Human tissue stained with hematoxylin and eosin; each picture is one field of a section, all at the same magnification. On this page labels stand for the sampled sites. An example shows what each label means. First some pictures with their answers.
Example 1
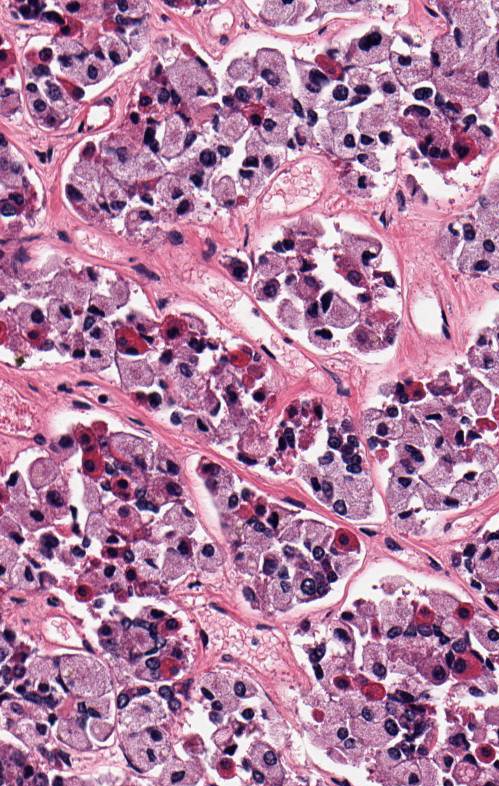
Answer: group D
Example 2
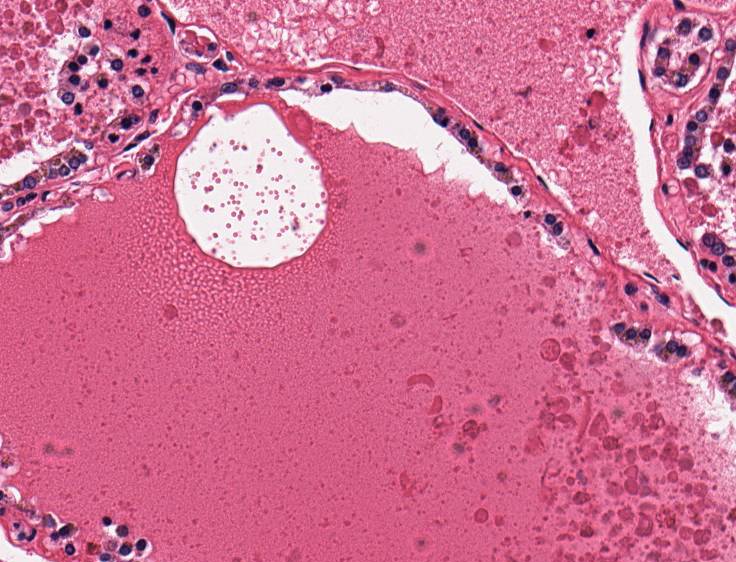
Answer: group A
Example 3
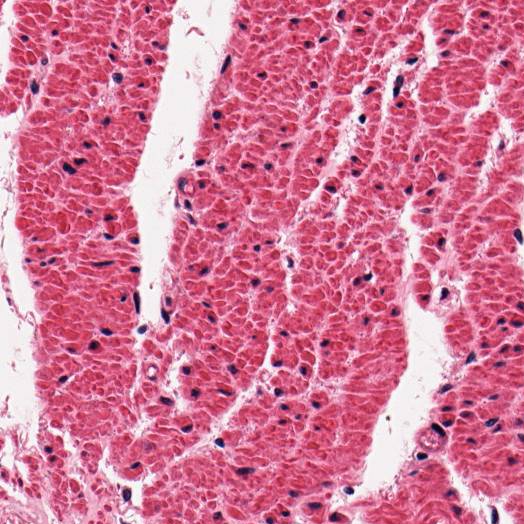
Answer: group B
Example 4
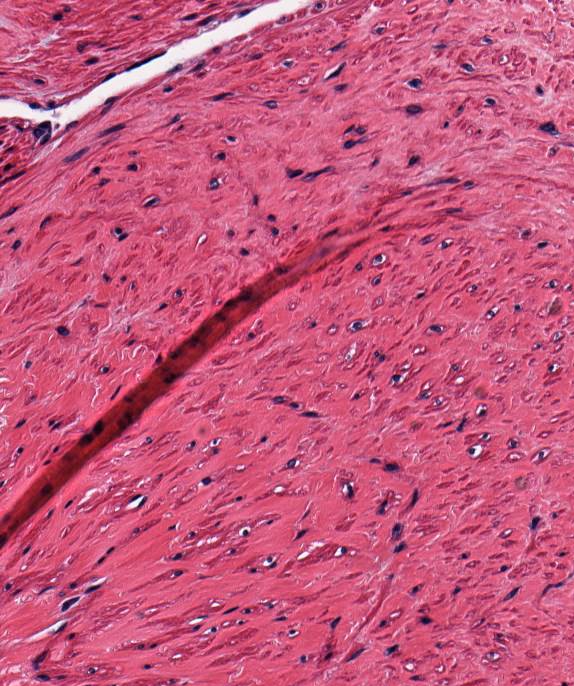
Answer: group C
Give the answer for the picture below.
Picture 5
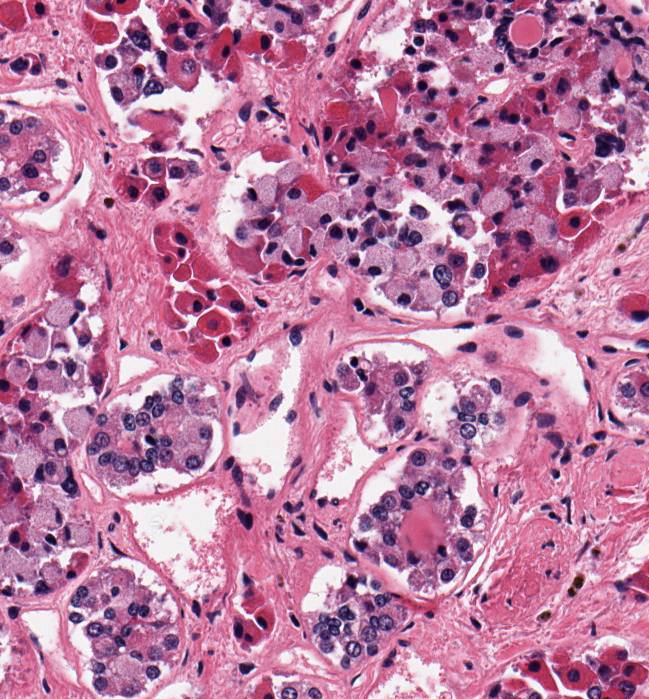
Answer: group D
